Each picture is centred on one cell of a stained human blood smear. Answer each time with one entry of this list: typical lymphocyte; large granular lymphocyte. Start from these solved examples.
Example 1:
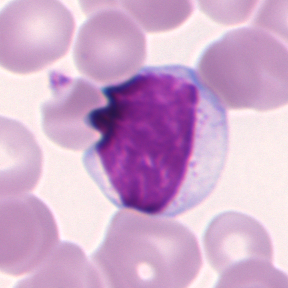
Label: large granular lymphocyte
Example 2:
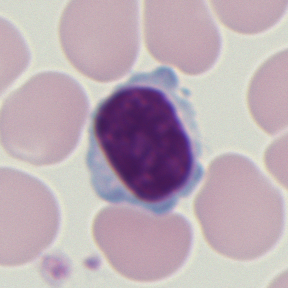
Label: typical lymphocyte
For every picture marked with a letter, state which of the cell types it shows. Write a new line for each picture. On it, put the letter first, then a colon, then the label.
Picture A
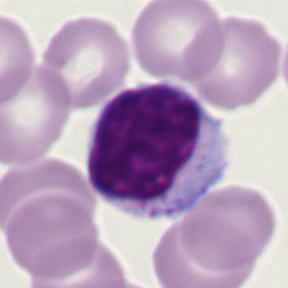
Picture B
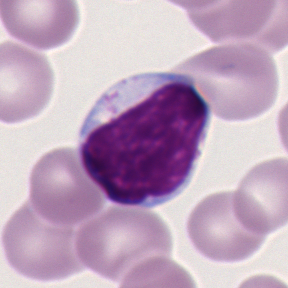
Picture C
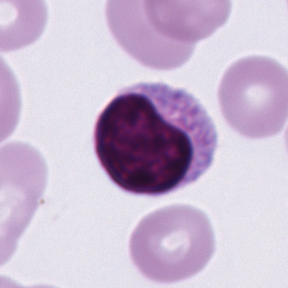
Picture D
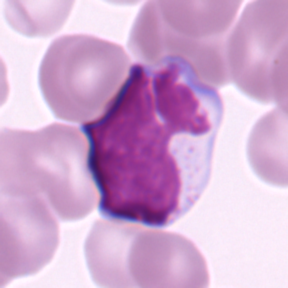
A: typical lymphocyte
B: large granular lymphocyte
C: large granular lymphocyte
D: large granular lymphocyte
